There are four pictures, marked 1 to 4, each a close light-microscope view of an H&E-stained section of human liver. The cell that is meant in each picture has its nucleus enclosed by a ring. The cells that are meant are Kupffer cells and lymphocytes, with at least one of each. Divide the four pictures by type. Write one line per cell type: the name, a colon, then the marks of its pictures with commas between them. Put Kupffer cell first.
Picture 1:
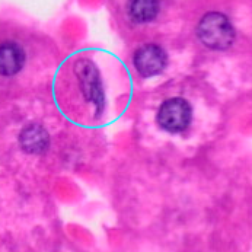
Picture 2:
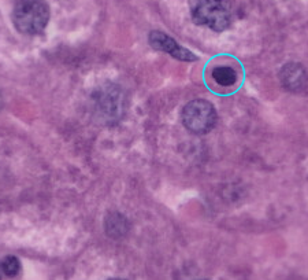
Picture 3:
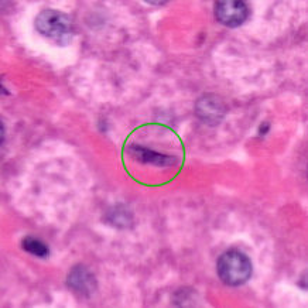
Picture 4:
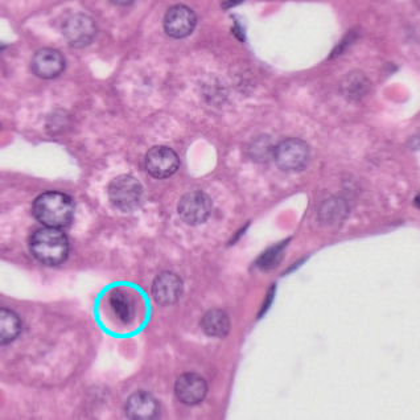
Kupffer cell: 1, 3, 4
lymphocyte: 2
